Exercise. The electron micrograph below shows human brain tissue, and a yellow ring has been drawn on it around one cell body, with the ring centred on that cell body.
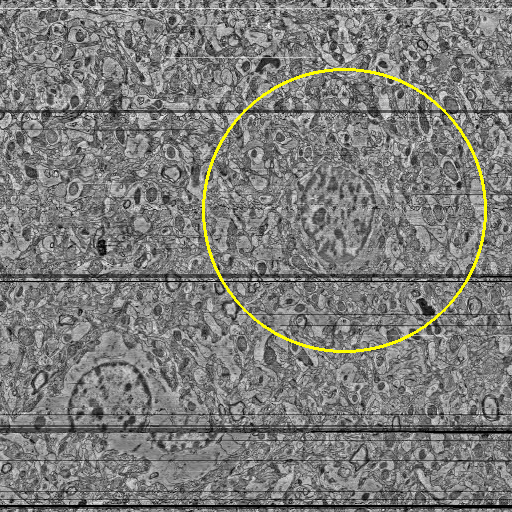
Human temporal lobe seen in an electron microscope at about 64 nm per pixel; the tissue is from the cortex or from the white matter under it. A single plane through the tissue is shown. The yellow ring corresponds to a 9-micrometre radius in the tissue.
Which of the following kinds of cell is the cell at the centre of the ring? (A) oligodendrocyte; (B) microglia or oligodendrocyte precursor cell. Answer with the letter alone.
A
